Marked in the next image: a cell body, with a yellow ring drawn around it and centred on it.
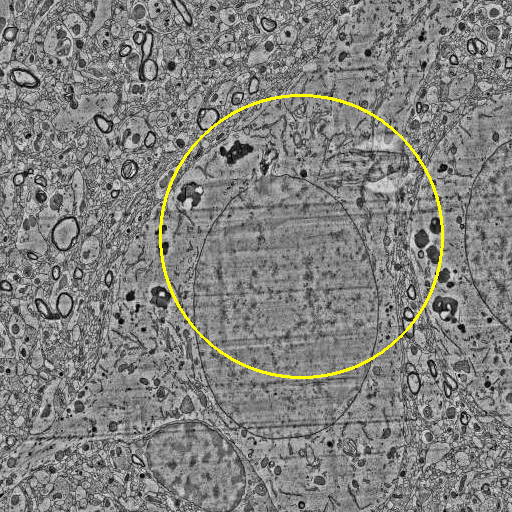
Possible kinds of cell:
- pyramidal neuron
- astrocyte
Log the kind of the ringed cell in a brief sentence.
The ringed cell body is that of a pyramidal neuron.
